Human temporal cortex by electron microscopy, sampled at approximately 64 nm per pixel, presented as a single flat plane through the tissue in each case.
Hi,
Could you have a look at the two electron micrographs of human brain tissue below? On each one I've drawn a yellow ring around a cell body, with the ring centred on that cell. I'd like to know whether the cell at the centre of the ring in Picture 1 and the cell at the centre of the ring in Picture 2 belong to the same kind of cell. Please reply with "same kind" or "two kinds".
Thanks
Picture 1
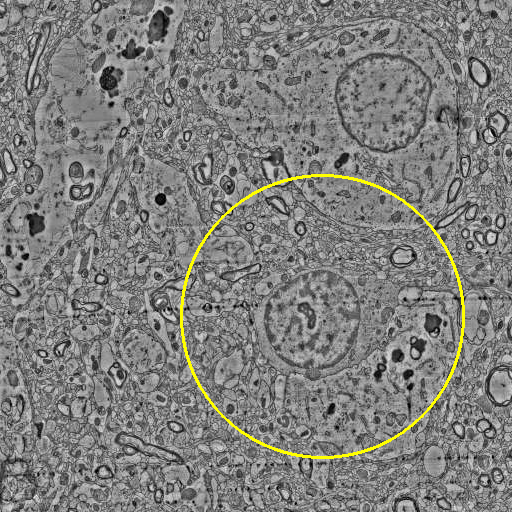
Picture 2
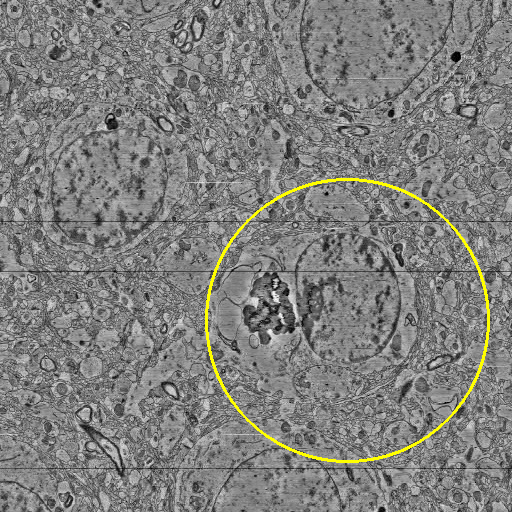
two kinds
